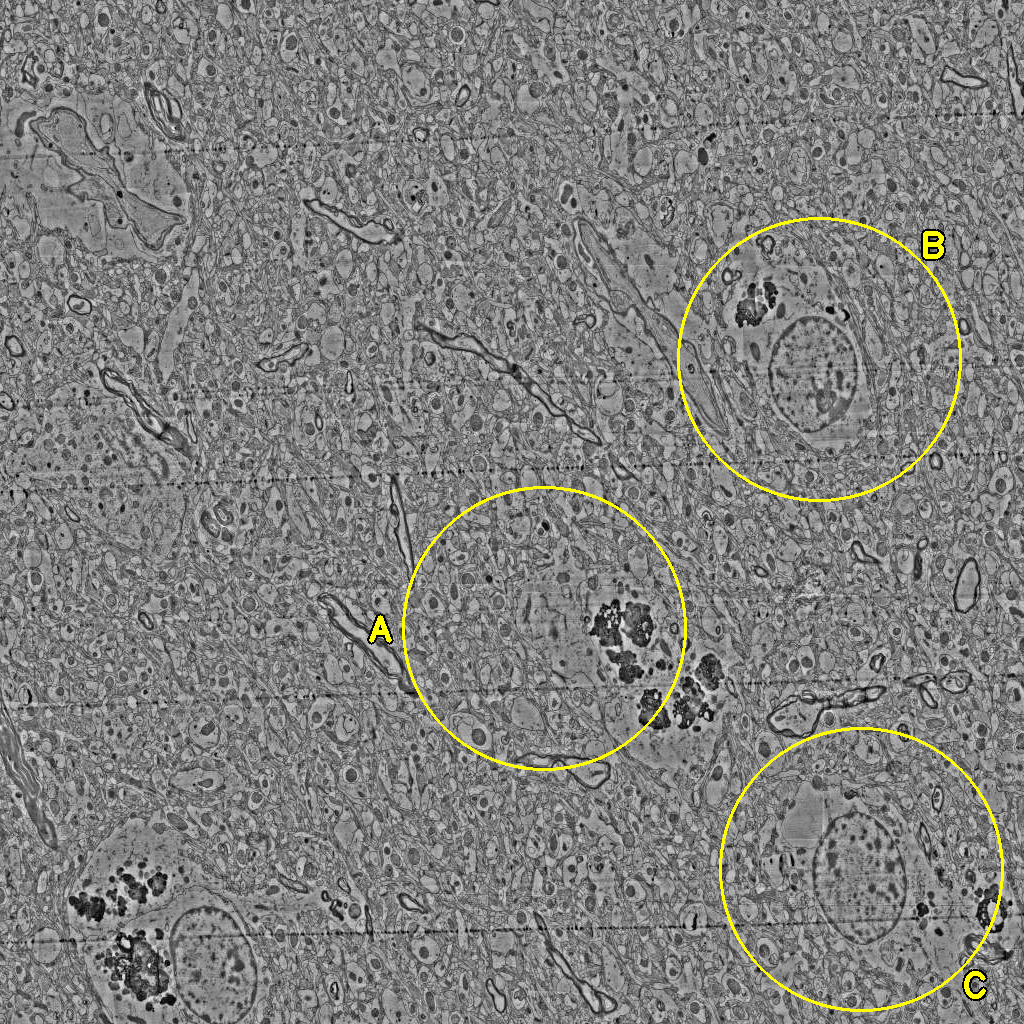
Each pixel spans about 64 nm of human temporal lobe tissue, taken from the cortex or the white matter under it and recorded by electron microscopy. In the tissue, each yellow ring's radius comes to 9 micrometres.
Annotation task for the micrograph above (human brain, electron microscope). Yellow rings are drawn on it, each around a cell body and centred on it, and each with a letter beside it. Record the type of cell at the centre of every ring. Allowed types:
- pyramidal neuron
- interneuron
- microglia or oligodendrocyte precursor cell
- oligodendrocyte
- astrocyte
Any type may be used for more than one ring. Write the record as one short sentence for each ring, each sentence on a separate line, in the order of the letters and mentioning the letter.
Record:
The cell centred in ring A is an astrocyte.
The cell centred in ring B is an astrocyte.
The cell centred in ring C is an astrocyte.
